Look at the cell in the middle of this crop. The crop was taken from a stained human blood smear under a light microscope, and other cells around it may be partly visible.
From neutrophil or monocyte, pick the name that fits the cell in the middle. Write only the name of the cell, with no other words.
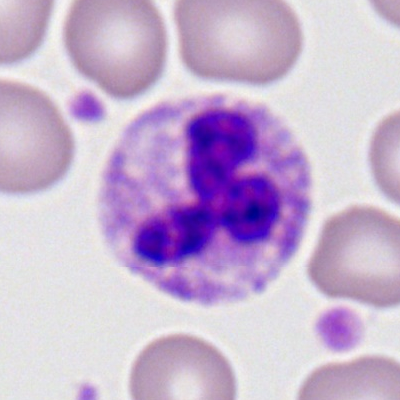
neutrophil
